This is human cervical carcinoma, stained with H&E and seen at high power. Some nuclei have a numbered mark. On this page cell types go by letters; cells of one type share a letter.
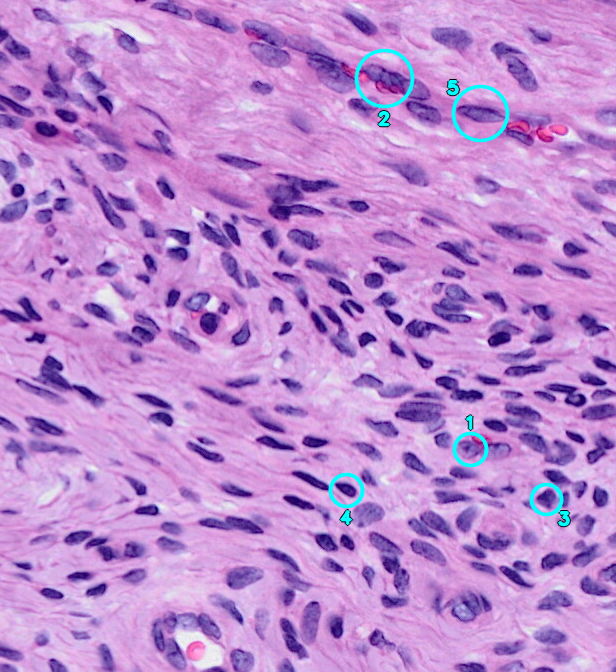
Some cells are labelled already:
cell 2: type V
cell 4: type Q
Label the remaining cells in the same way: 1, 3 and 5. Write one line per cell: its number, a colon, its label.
1: type V
3: type Q
5: type V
